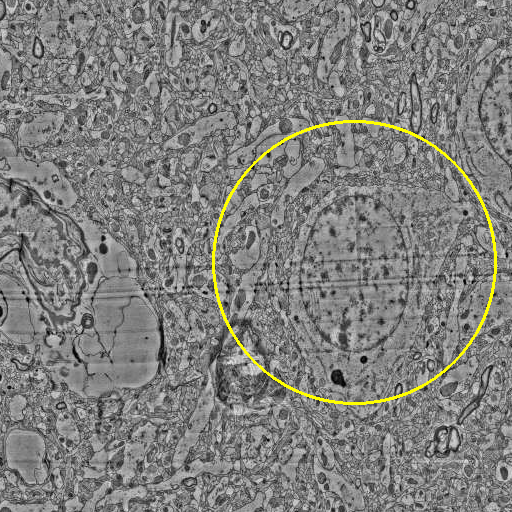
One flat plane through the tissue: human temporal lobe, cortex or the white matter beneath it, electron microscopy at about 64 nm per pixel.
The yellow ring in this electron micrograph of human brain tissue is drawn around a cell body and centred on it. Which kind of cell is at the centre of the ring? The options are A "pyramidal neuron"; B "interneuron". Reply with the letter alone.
A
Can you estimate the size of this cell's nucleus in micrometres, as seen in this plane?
About 10 by 7 micrometers for the nucleus, in this plane.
